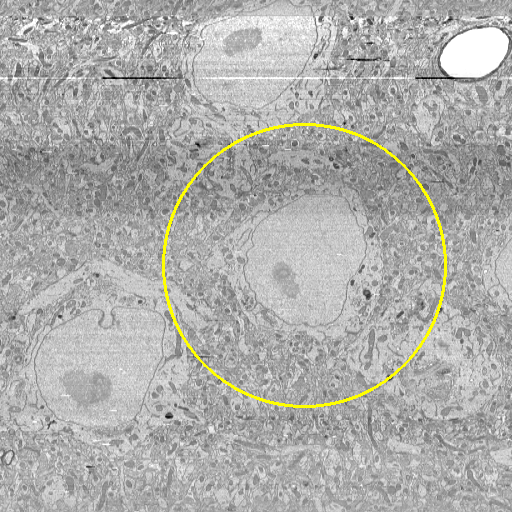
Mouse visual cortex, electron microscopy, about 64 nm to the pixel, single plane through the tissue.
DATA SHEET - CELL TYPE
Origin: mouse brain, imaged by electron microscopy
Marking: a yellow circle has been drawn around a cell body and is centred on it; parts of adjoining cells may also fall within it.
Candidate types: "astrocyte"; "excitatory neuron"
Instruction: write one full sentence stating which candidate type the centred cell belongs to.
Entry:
The cell body at the centre of the yellow ring in this micrograph belongs to an excitatory neuron.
